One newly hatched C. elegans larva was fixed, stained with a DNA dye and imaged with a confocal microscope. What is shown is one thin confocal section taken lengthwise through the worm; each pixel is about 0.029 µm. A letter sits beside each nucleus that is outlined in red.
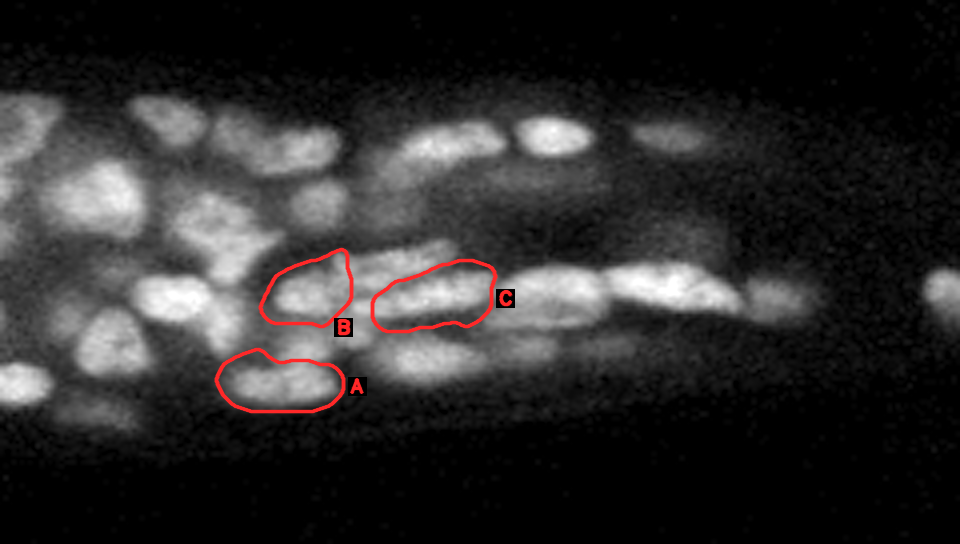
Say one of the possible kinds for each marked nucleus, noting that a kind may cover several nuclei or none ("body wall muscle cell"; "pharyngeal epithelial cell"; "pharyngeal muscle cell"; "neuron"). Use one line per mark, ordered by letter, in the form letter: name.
A: body wall muscle cell
B: neuron
C: pharyngeal epithelial cell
